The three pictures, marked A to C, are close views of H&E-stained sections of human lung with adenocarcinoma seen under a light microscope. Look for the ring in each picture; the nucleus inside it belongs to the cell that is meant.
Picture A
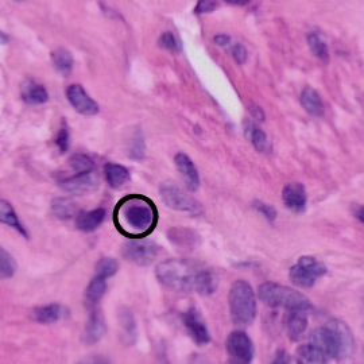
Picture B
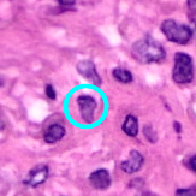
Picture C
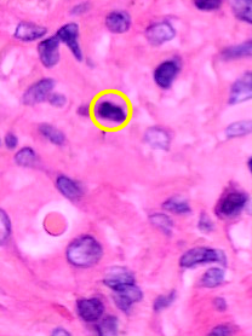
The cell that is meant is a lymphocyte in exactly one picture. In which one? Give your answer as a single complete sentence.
It is picture B that shows the lymphocyte.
